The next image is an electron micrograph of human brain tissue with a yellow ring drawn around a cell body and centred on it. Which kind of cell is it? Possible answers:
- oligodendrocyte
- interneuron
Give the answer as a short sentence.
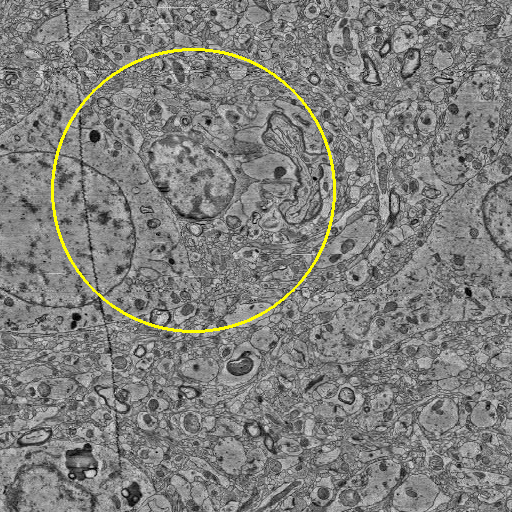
In the ring's centre is an oligodendrocyte.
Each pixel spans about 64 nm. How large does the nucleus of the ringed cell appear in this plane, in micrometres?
In this plane the nucleus measures roughly 6 by 4 micrometers.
